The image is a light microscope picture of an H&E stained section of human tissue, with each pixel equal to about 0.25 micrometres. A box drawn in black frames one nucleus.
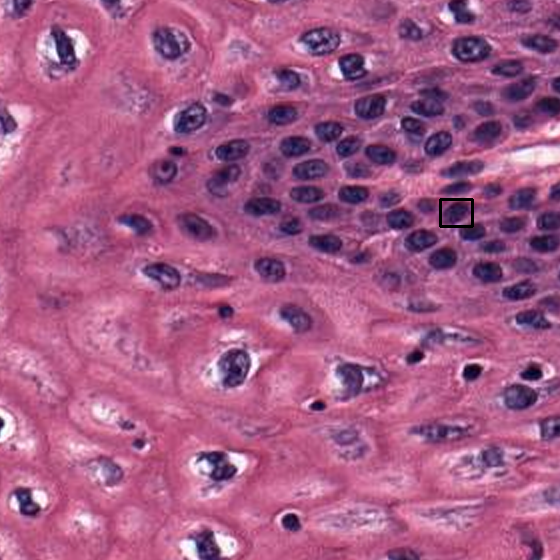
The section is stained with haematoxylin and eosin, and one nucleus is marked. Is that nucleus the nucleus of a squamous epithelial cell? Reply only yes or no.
yes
